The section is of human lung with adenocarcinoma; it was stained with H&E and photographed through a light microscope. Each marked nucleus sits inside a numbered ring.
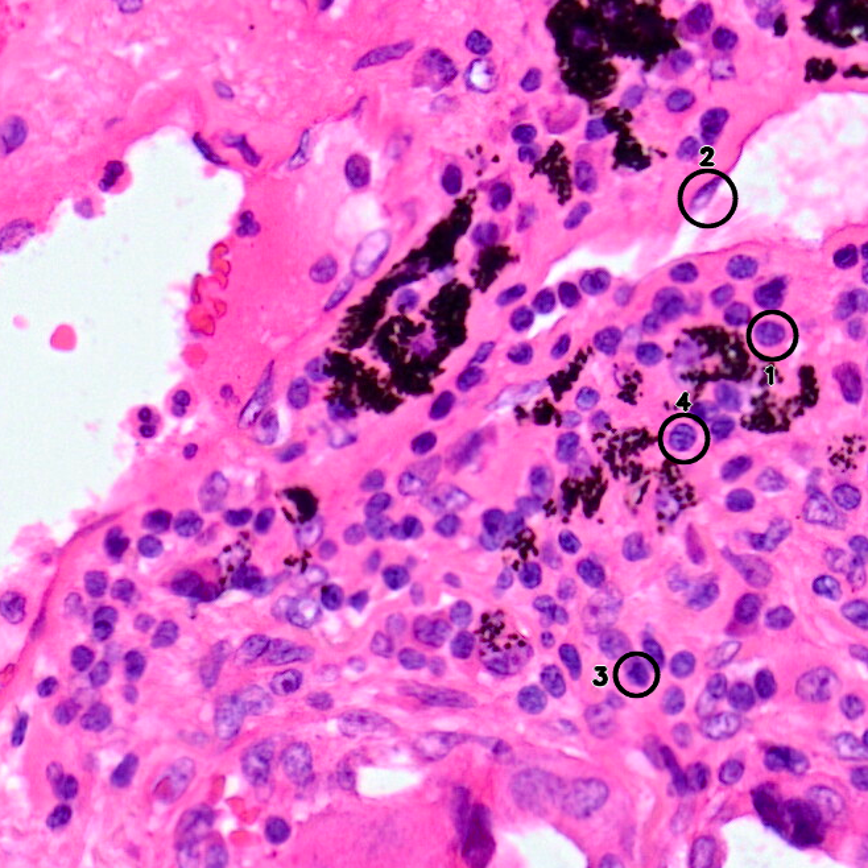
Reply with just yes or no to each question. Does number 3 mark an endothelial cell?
no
